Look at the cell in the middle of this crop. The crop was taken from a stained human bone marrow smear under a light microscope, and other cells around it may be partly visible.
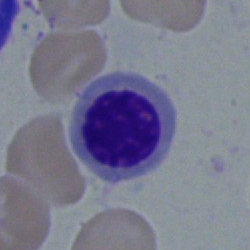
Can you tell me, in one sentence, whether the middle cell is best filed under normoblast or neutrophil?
The cell at the central position in this crop is a normoblast.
